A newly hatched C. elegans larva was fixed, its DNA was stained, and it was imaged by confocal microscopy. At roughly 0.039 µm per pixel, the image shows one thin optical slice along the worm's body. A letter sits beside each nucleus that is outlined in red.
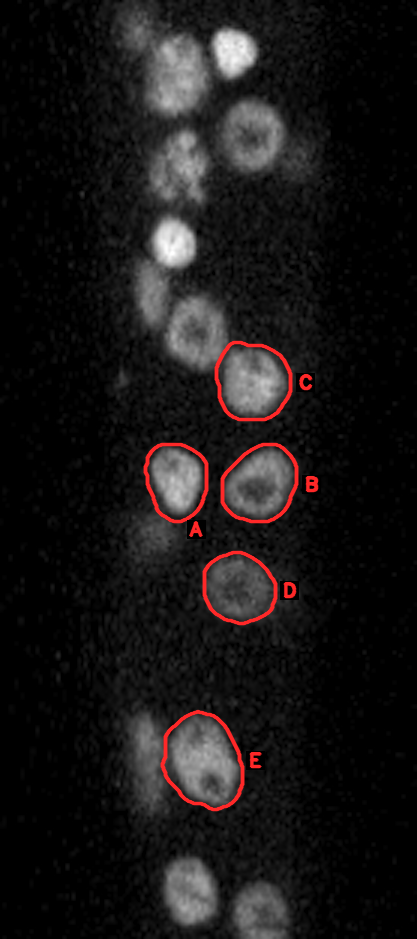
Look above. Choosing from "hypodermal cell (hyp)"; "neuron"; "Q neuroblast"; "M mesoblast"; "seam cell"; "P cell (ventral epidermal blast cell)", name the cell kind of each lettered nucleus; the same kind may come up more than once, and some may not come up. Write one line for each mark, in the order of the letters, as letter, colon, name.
A: P cell (ventral epidermal blast cell)
B: hypodermal cell (hyp)
C: Q neuroblast
D: M mesoblast
E: seam cell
